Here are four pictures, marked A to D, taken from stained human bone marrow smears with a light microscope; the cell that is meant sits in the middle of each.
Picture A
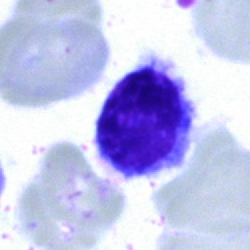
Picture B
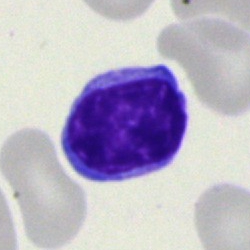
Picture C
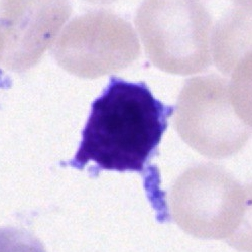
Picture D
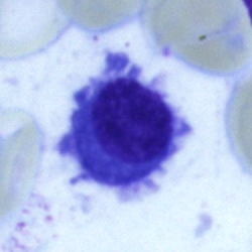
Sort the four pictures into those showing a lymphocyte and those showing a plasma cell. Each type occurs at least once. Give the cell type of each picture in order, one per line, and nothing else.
lymphocyte
lymphocyte
lymphocyte
plasma cell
